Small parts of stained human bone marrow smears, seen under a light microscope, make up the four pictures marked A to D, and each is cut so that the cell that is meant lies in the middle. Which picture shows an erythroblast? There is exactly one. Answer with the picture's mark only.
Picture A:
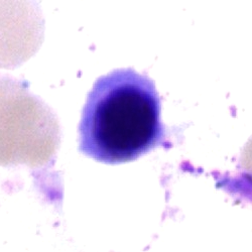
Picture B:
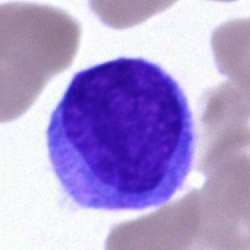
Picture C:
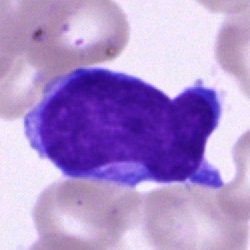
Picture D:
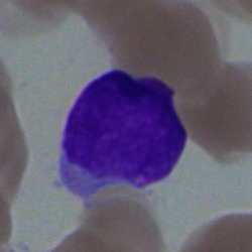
A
